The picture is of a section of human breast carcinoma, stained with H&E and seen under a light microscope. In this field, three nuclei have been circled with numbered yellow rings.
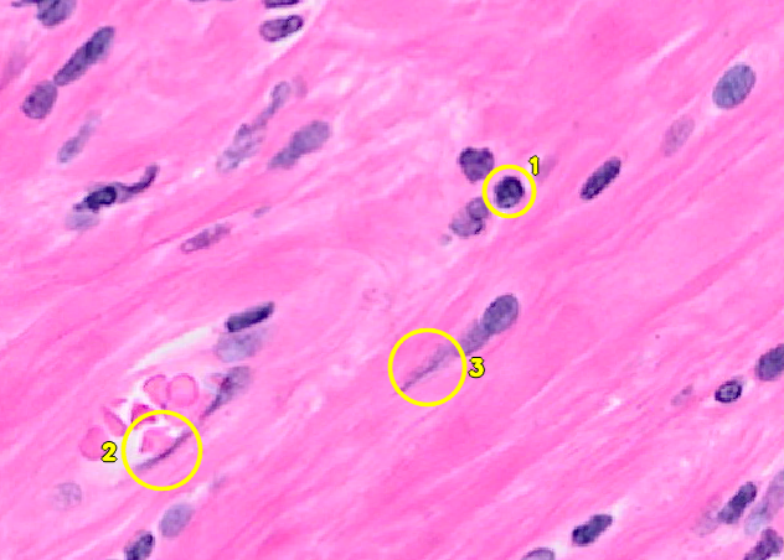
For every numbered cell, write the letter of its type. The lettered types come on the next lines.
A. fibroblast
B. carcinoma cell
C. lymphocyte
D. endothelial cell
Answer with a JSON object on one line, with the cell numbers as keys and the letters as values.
{"1": "C", "2": "D", "3": "A"}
